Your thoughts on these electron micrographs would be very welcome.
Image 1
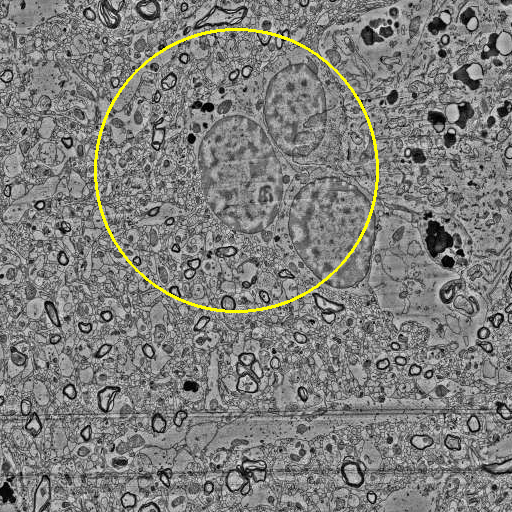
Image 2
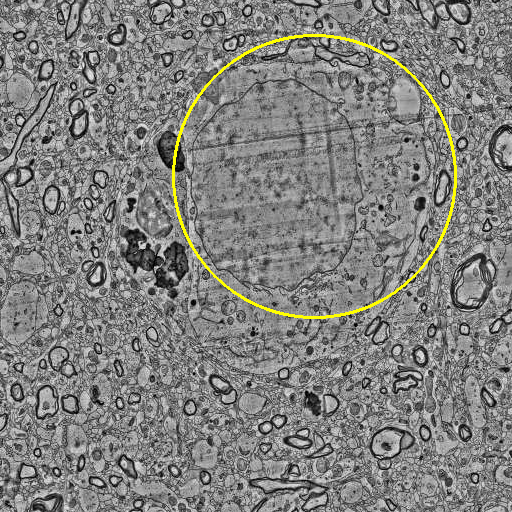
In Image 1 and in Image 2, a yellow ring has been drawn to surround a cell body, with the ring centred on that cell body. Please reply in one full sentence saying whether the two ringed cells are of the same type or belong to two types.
The ringed cells in Image 1 and Image 2 belong to two types.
